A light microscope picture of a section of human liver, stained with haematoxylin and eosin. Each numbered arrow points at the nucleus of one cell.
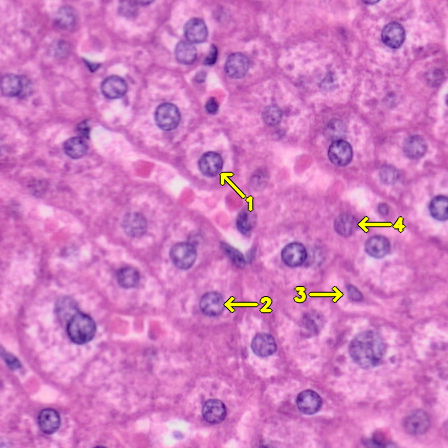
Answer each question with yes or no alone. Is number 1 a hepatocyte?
yes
